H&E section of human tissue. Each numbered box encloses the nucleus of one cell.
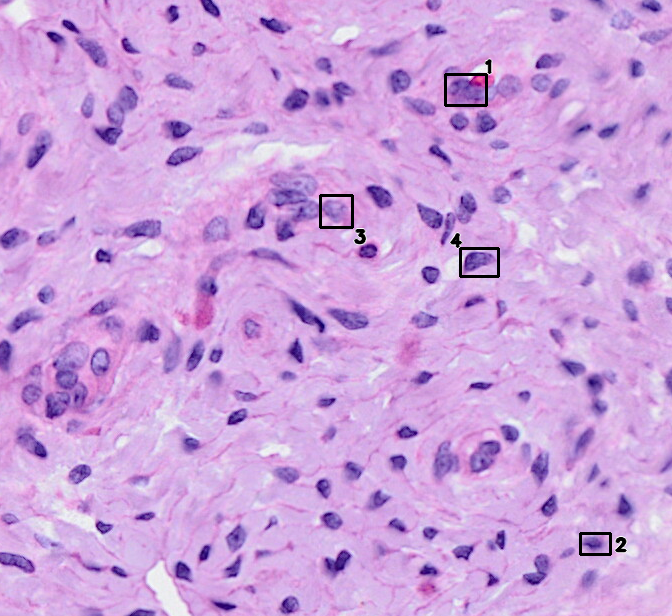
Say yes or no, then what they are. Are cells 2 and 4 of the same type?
Yes, both are fibroblasts.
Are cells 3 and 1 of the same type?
Yes, both are endothelial cells.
